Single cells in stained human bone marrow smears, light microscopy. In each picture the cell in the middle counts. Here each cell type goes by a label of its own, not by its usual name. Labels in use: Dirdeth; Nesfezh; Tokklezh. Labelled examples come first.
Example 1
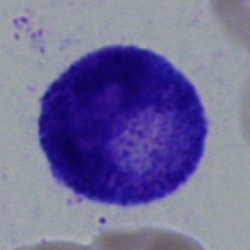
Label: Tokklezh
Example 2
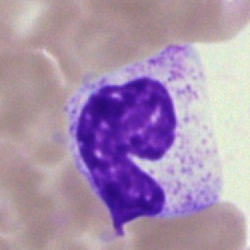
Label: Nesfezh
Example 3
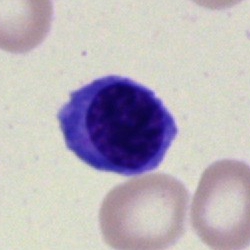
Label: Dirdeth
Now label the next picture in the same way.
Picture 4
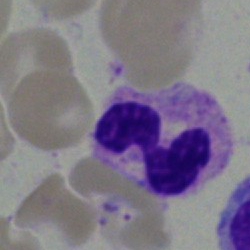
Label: Nesfezh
